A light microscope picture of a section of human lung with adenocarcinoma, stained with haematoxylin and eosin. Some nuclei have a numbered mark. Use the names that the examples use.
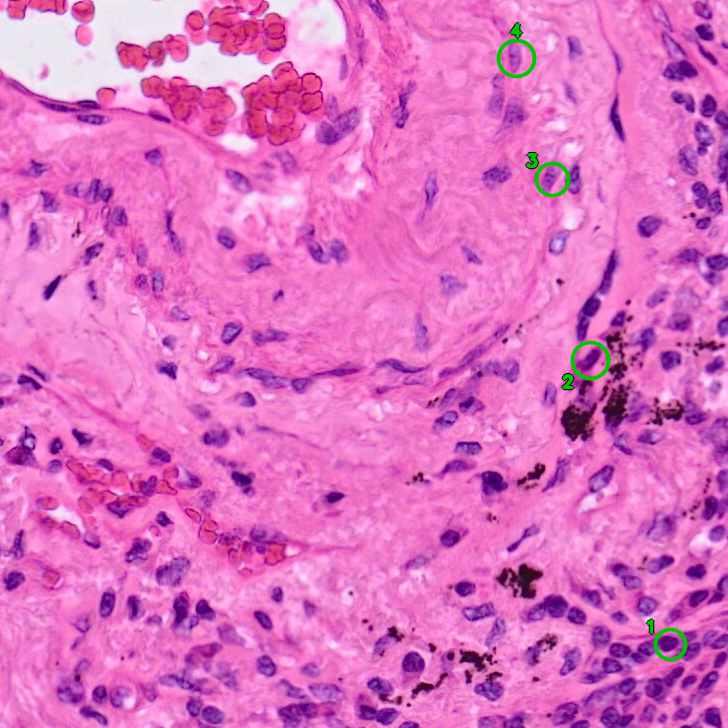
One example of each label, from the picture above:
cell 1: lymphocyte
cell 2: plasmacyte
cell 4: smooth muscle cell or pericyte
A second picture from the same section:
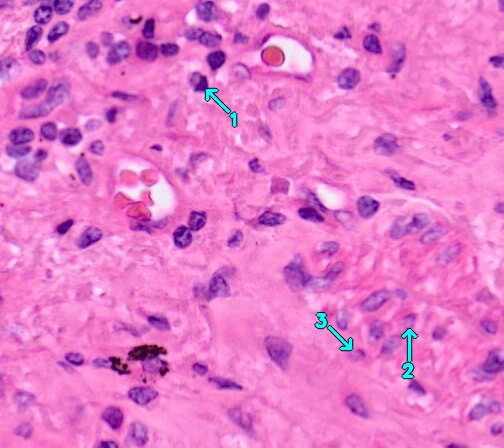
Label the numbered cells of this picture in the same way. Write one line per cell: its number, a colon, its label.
1: lymphocyte
2: smooth muscle cell or pericyte
3: smooth muscle cell or pericyte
